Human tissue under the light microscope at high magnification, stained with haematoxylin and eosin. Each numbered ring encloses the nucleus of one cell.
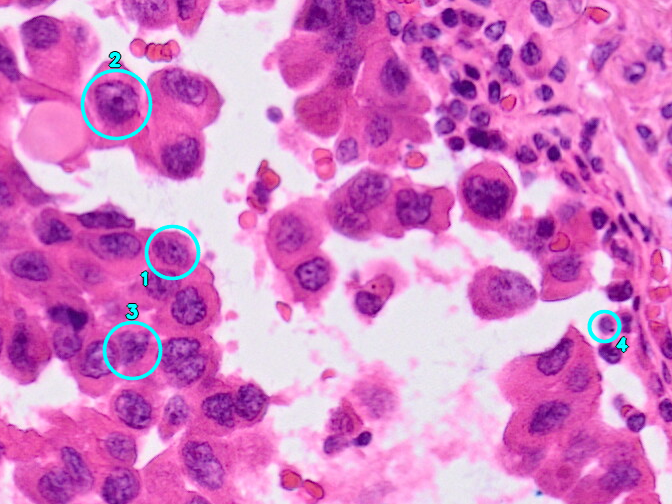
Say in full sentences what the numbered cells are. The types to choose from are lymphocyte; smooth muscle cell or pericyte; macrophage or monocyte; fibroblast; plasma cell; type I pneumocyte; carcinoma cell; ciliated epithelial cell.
Cells 1, 2 and 3 are carcinoma cells. Cell 4 is a lymphocyte.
